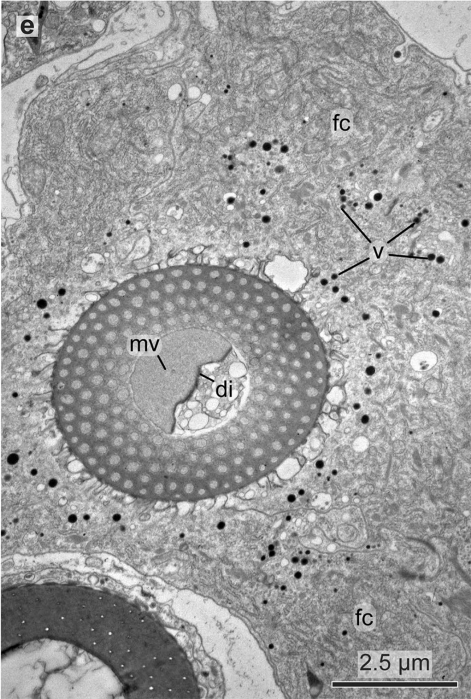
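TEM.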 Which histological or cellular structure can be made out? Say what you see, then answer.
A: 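A large round electron-dense profile perforated by many regularly spaced small canals. It is embedded in cells full of dark vesicles.
Chaetal shaft.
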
